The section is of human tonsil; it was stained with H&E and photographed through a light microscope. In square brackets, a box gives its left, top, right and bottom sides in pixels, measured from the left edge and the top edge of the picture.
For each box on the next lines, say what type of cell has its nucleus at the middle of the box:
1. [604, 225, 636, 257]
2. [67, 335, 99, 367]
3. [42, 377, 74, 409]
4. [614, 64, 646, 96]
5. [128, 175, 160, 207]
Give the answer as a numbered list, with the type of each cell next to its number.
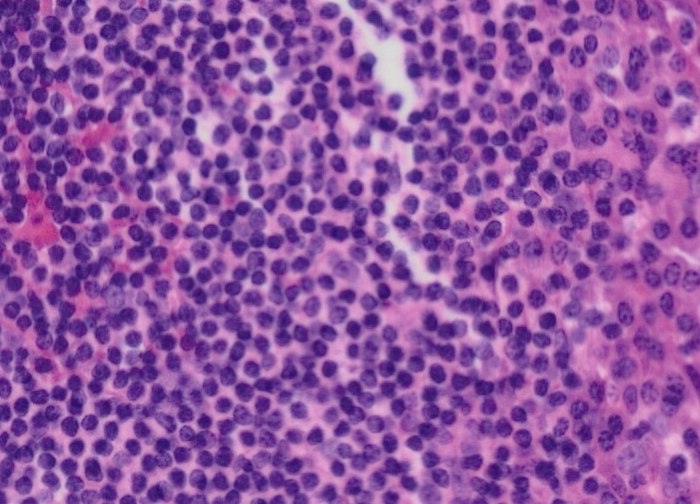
1. plasma cell
2. small lymphocyte
3. small lymphocyte
4. plasma cell
5. small lymphocyte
